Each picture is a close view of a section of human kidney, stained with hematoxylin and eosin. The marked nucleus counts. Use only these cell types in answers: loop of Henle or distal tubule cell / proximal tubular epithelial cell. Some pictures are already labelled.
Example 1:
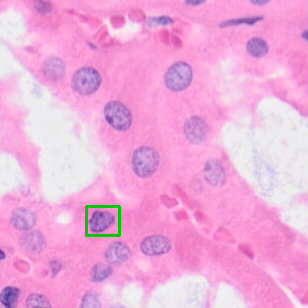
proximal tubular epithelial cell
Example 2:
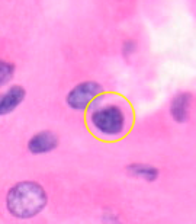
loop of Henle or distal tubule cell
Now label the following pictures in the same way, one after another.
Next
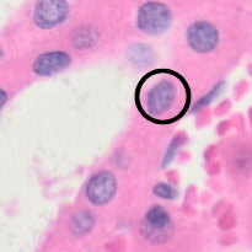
loop of Henle or distal tubule cell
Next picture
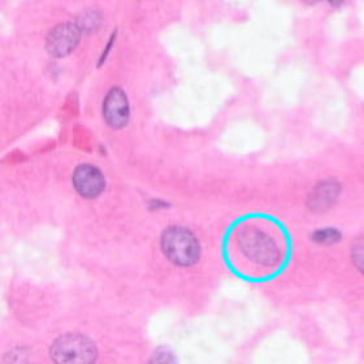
proximal tubular epithelial cell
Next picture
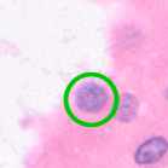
proximal tubular epithelial cell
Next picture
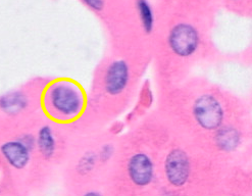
loop of Henle or distal tubule cell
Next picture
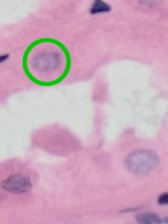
proximal tubular epithelial cell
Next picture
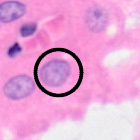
proximal tubular epithelial cell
